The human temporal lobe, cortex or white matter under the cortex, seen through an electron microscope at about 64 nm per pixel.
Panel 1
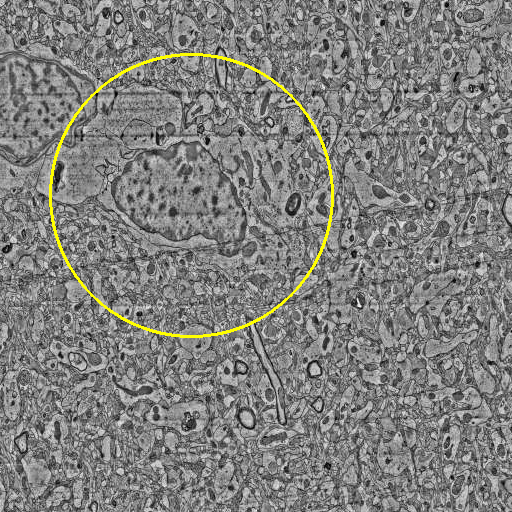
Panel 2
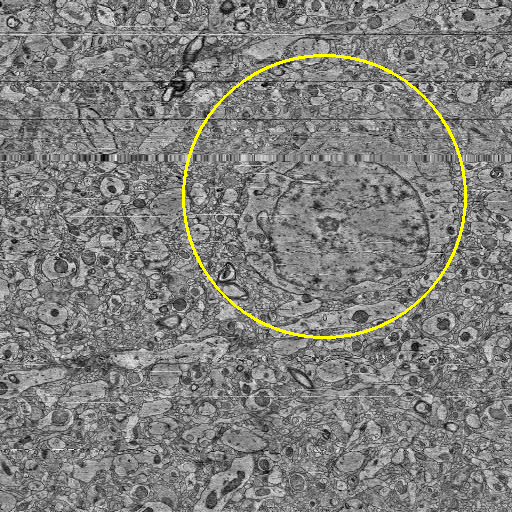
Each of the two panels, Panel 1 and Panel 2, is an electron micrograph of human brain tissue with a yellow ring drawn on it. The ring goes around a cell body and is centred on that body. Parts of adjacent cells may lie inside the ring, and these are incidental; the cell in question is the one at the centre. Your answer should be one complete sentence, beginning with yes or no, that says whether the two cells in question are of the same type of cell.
No, the two cells are of two types.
